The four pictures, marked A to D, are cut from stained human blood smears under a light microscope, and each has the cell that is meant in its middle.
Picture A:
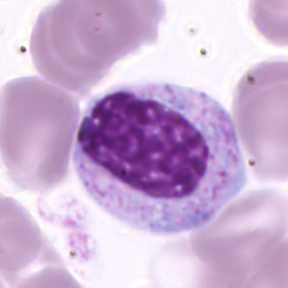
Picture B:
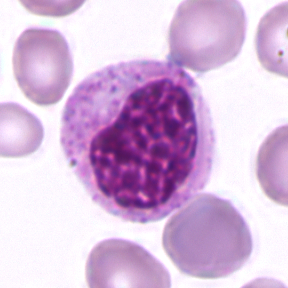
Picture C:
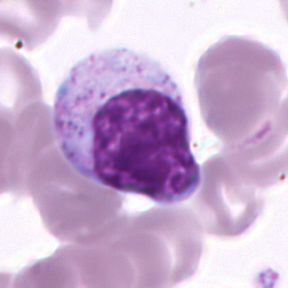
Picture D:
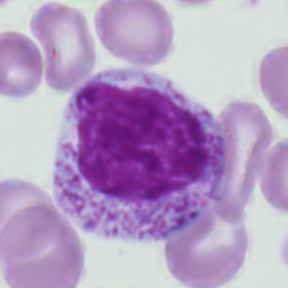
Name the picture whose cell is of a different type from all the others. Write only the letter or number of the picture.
D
